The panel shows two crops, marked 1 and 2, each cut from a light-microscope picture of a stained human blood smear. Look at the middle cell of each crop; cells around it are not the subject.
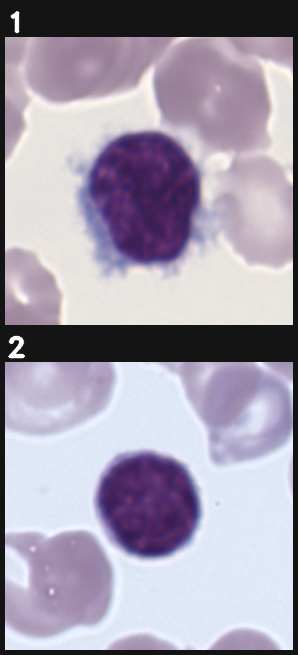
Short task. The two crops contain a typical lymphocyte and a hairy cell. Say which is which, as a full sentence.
Crop 1 depicts a hairy cell, and a typical lymphocyte is depicted in crop 2.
